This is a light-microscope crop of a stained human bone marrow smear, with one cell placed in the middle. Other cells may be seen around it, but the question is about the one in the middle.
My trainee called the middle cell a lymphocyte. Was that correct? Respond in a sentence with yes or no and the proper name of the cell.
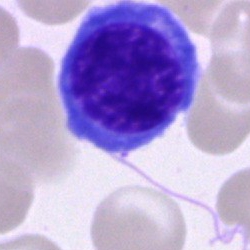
No, the cell centered in the crop is an erythroblast, not a lymphocyte.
